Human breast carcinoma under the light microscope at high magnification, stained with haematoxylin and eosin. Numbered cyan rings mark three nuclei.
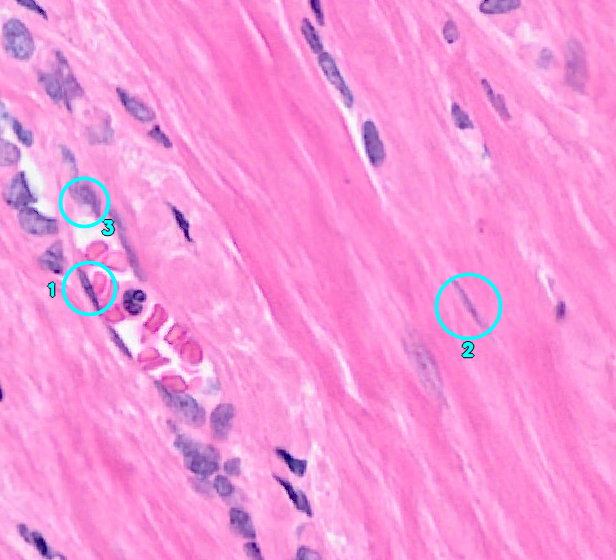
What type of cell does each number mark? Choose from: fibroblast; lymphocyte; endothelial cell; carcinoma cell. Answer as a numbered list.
1. endothelial cell
2. fibroblast
3. endothelial cell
